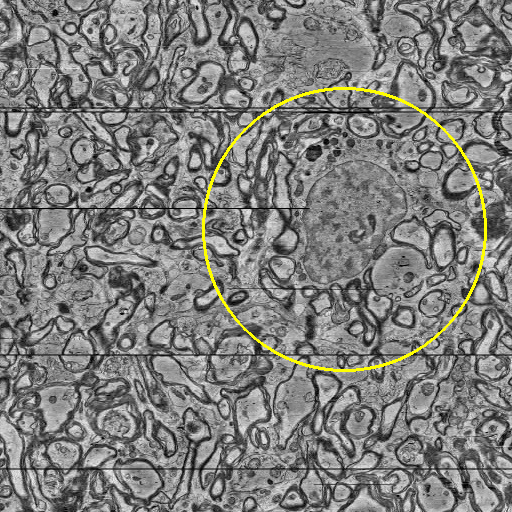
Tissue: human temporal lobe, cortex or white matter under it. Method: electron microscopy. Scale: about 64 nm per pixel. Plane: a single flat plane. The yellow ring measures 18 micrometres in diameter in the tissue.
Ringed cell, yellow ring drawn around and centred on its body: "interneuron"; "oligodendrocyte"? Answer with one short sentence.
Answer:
This ringed cell is an oligodendrocyte.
